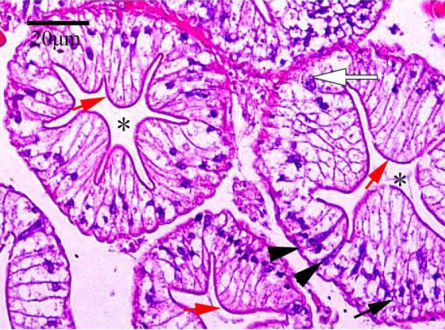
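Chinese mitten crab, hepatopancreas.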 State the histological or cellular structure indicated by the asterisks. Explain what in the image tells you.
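Each asterisk sits in the central cavity of a tubule cross-section. The cavity has several narrow arms radiating outwards like a star.
Conclusion: star-shaped lumina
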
